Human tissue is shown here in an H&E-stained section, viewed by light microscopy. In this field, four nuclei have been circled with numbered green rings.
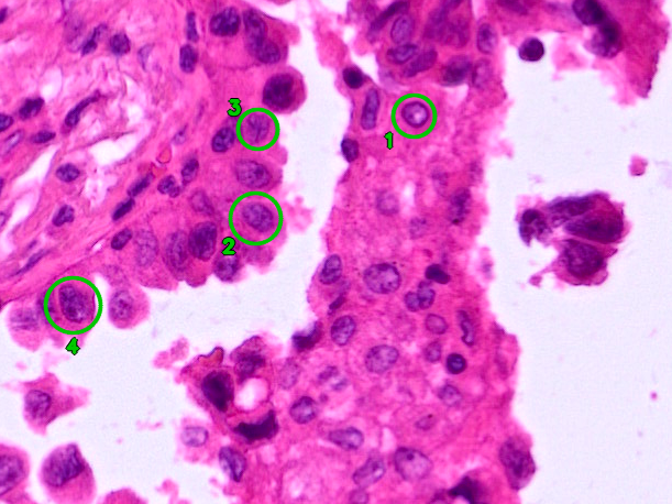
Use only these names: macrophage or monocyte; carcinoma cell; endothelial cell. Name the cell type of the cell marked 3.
carcinoma cell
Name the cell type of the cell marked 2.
carcinoma cell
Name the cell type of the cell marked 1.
macrophage or monocyte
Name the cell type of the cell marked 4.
carcinoma cell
